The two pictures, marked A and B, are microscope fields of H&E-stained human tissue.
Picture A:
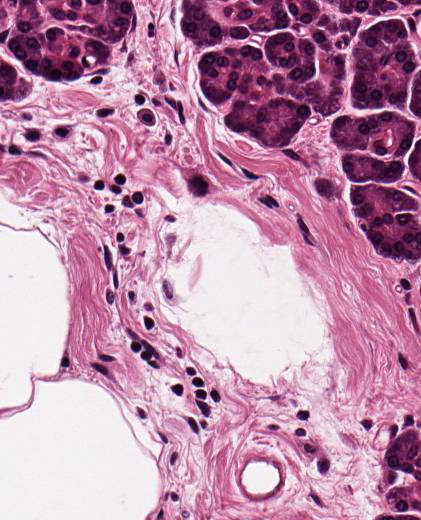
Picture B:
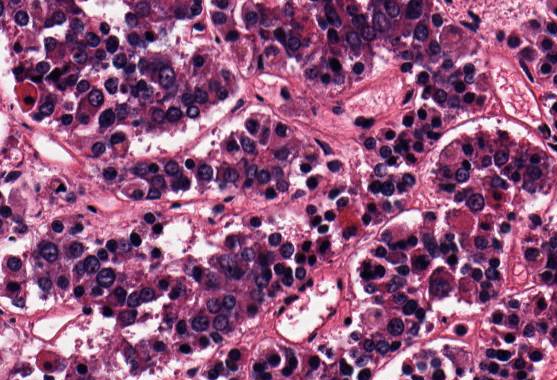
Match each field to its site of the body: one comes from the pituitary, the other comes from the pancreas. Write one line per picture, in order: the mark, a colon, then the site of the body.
A: pancreas
B: pituitary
